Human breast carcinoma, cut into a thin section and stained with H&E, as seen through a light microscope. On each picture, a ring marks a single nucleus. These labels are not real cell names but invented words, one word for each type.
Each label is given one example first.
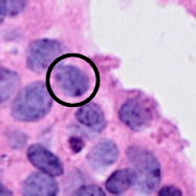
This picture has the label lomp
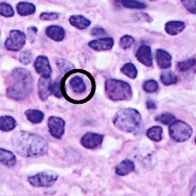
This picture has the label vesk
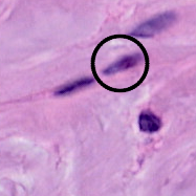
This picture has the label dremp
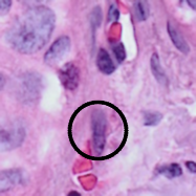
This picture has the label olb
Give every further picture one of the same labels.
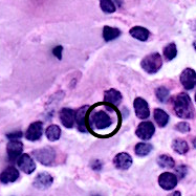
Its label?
vesk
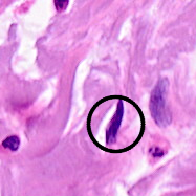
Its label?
dremp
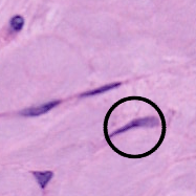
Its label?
dremp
